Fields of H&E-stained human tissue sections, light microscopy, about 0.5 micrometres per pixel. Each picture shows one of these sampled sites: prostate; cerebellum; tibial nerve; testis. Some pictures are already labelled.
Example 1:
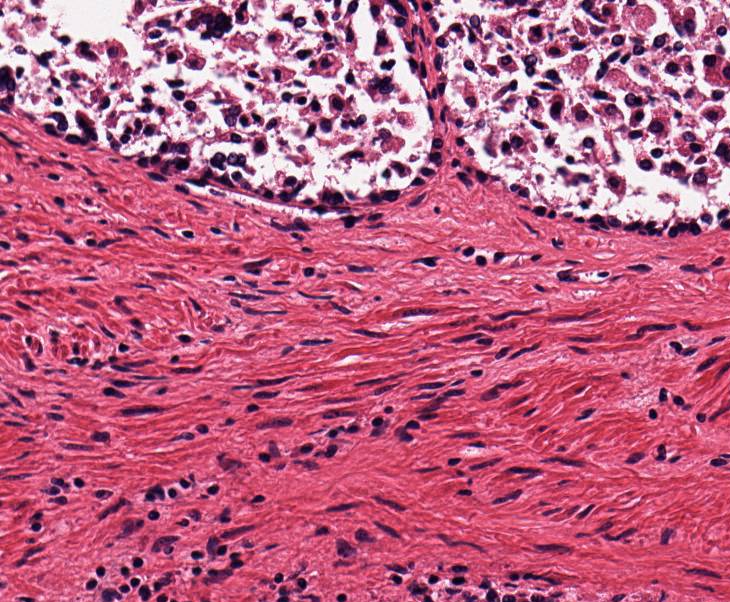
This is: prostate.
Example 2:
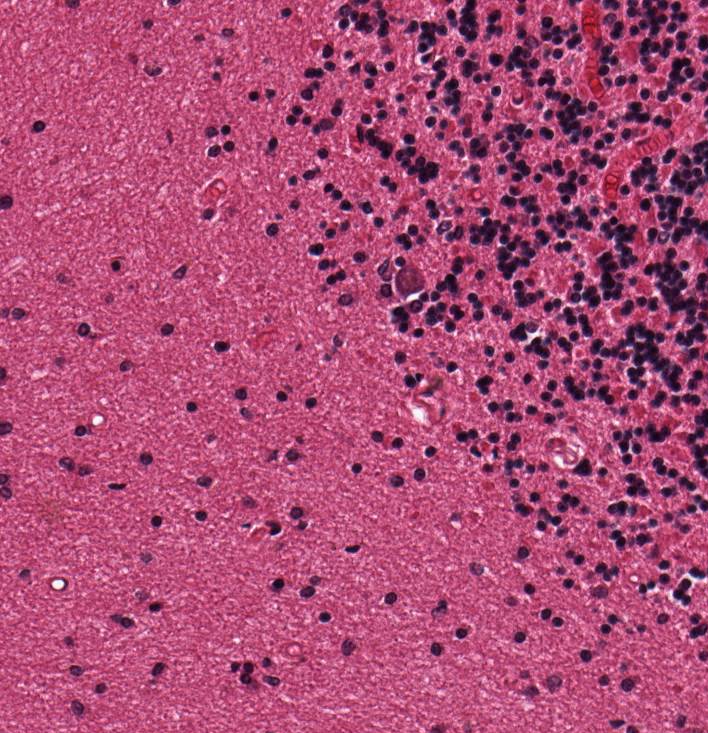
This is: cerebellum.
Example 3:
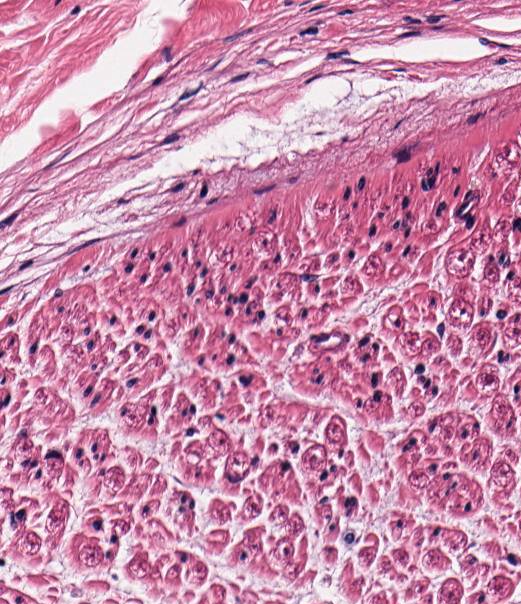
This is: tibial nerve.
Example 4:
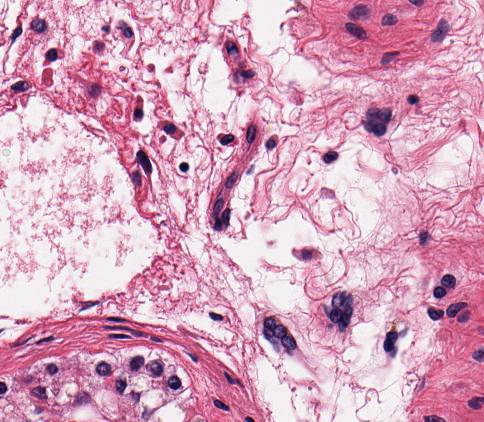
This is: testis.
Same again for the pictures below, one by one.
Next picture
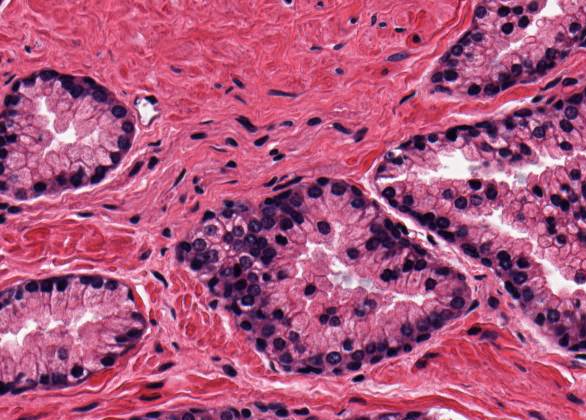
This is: prostate.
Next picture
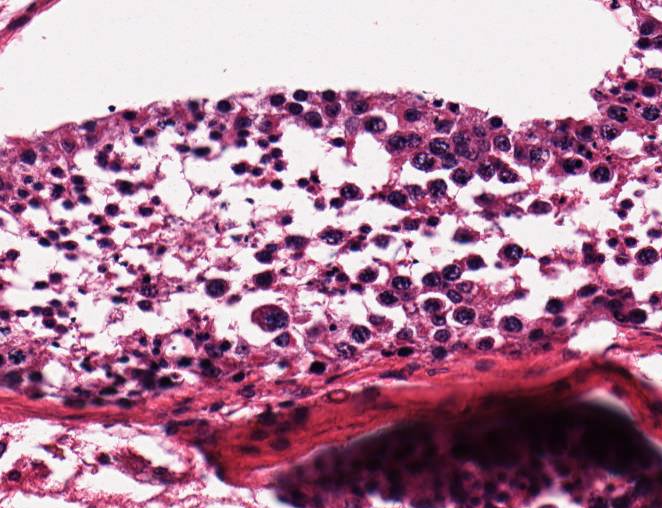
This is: testis.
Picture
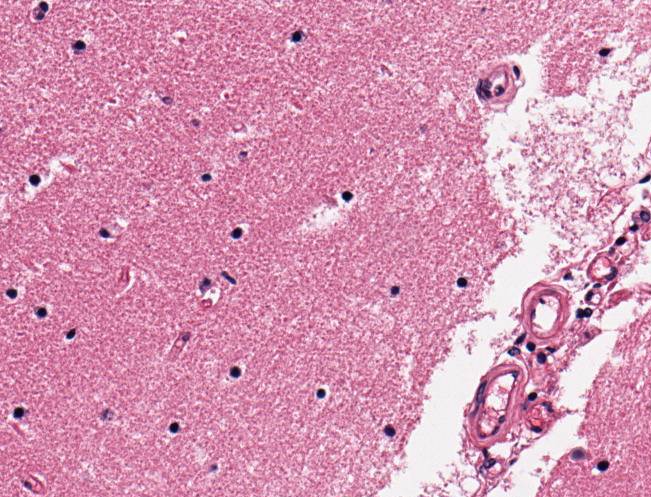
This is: cerebellum.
